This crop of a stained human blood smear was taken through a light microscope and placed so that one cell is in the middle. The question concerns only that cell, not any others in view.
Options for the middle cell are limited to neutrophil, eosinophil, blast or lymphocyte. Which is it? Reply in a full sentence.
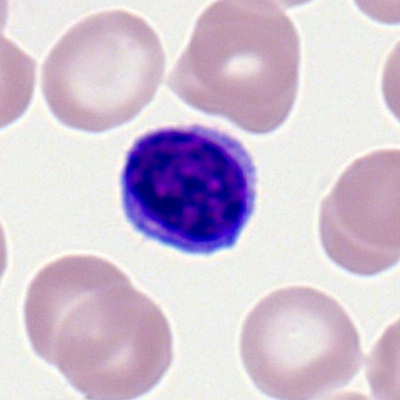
The cell nearest the centre of this crop is a lymphocyte.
